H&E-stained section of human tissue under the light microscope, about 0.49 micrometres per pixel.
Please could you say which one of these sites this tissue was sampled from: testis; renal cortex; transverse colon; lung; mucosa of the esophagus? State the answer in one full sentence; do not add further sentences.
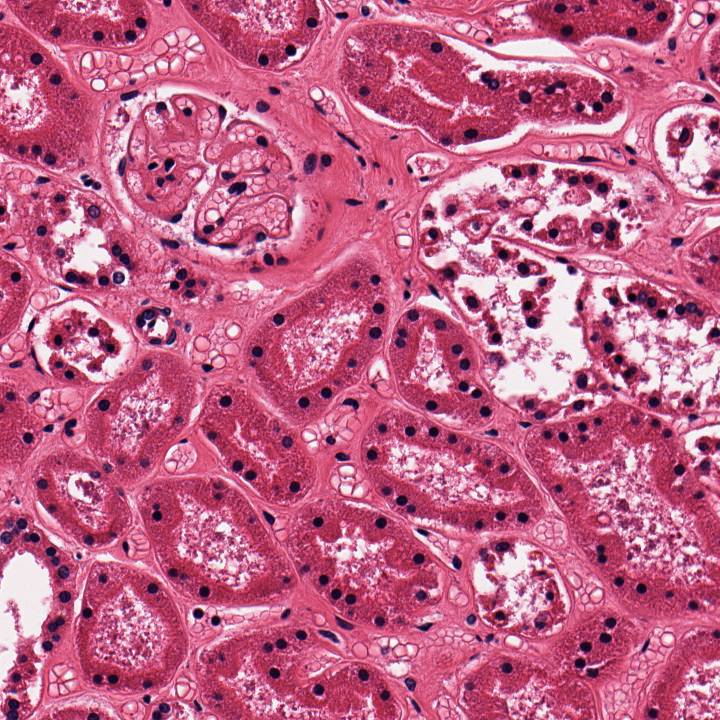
It is from the renal cortex that this section was cut.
